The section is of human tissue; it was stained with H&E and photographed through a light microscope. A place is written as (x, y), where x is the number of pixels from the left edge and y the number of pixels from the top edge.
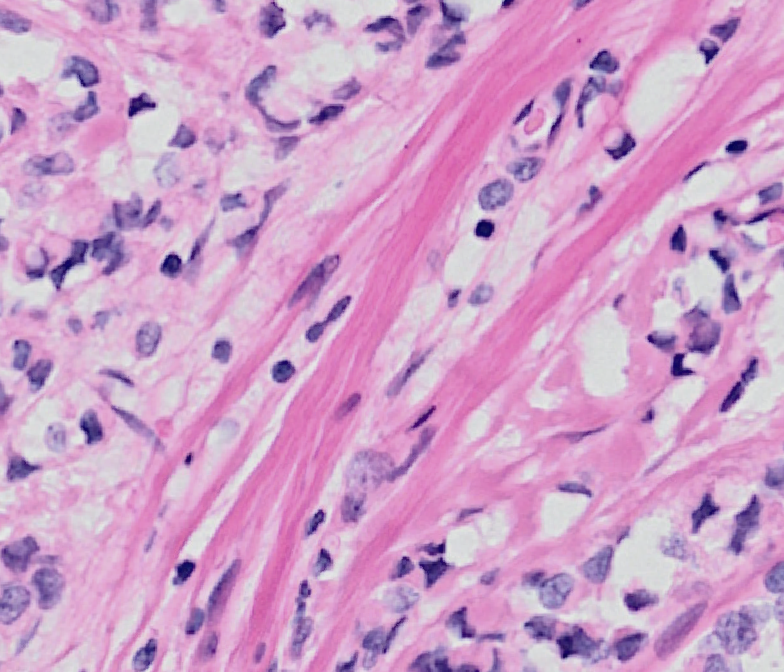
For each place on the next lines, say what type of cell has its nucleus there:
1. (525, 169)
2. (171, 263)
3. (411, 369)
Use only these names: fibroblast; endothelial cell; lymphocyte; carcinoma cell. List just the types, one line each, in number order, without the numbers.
endothelial cell
lymphocyte
fibroblast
